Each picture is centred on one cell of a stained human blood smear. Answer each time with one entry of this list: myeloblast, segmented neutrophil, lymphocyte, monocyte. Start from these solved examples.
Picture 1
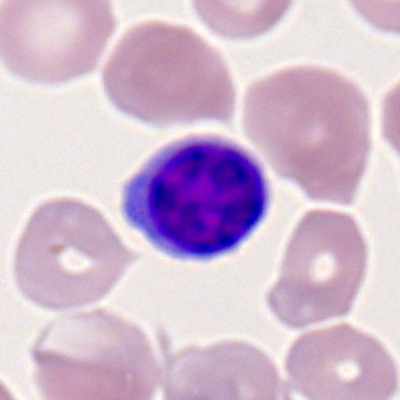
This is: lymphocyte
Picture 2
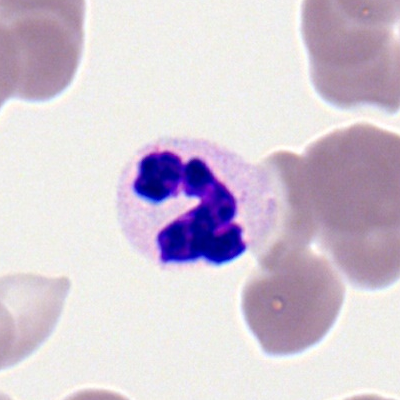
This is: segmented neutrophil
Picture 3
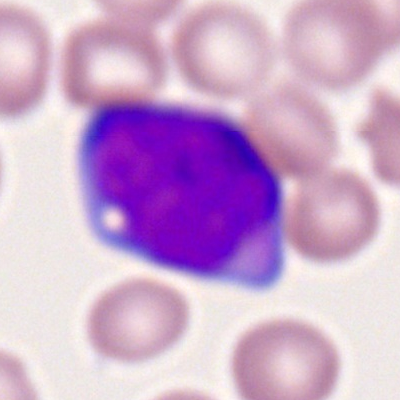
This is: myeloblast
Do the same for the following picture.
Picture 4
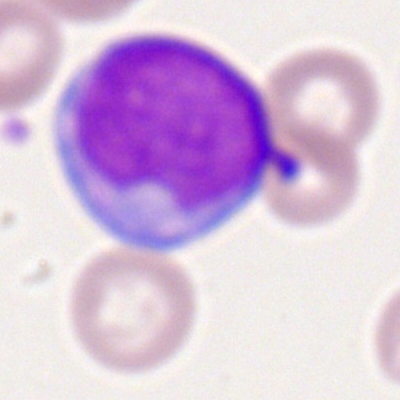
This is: myeloblast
